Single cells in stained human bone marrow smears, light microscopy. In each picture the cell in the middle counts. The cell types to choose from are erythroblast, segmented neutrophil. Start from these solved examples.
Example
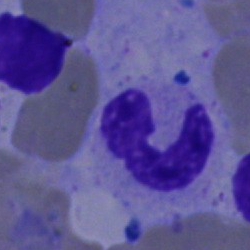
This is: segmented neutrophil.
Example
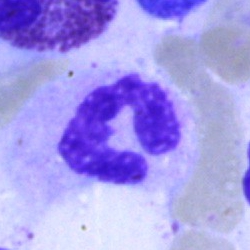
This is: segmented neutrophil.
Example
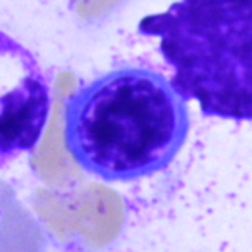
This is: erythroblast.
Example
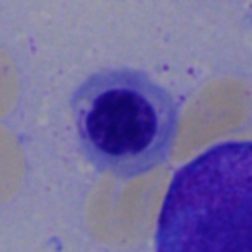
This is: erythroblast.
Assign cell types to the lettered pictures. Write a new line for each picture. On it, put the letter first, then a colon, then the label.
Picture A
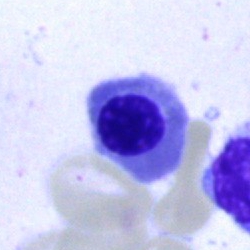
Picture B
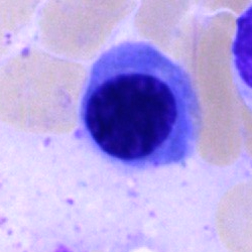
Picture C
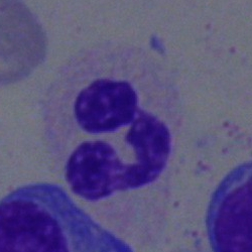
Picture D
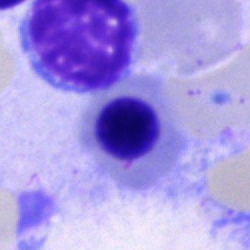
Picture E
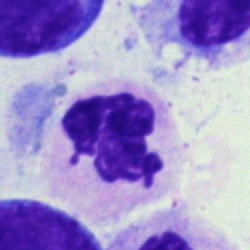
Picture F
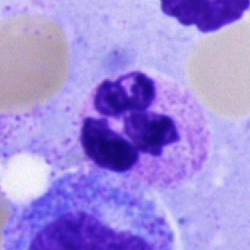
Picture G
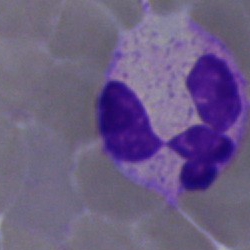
A: erythroblast.
B: erythroblast.
C: segmented neutrophil.
D: erythroblast.
E: segmented neutrophil.
F: segmented neutrophil.
G: segmented neutrophil.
